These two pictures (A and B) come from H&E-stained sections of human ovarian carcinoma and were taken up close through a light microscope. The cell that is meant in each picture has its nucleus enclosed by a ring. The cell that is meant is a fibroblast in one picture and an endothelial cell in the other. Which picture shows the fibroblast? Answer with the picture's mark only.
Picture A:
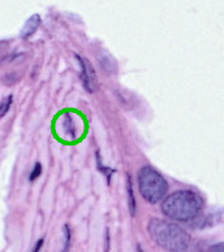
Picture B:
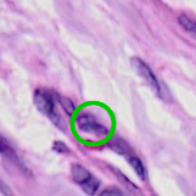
A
